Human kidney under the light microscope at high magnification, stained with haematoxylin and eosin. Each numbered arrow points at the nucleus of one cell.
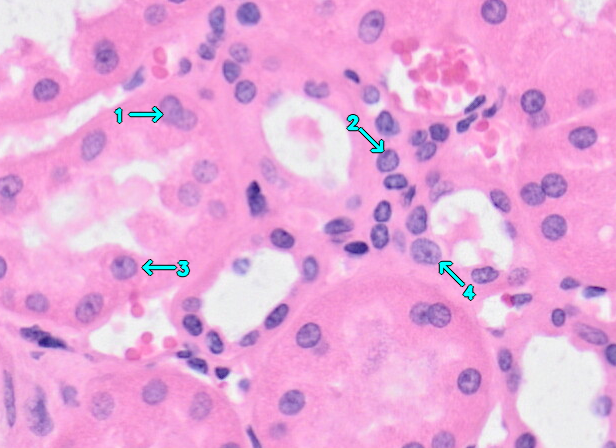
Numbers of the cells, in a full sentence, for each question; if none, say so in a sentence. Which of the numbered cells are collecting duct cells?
When it comes to cells 2 and 4, they are collecting duct cells.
